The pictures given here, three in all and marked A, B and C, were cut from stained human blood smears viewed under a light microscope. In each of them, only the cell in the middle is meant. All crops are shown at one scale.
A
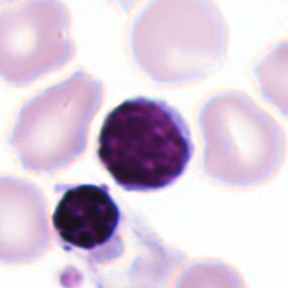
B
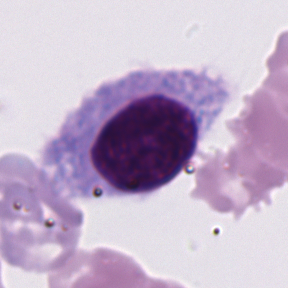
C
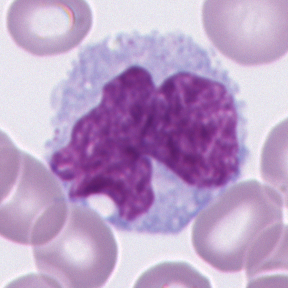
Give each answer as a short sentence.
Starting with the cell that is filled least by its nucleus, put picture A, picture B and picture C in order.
They run B, C, A, the least filled first.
